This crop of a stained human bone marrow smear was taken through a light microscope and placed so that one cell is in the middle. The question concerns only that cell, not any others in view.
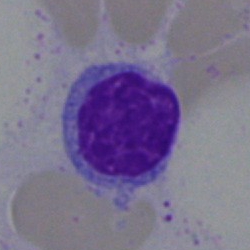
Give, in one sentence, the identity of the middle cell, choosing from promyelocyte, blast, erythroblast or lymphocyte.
The central cell, amid any neighbouring cells, is a lymphocyte.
